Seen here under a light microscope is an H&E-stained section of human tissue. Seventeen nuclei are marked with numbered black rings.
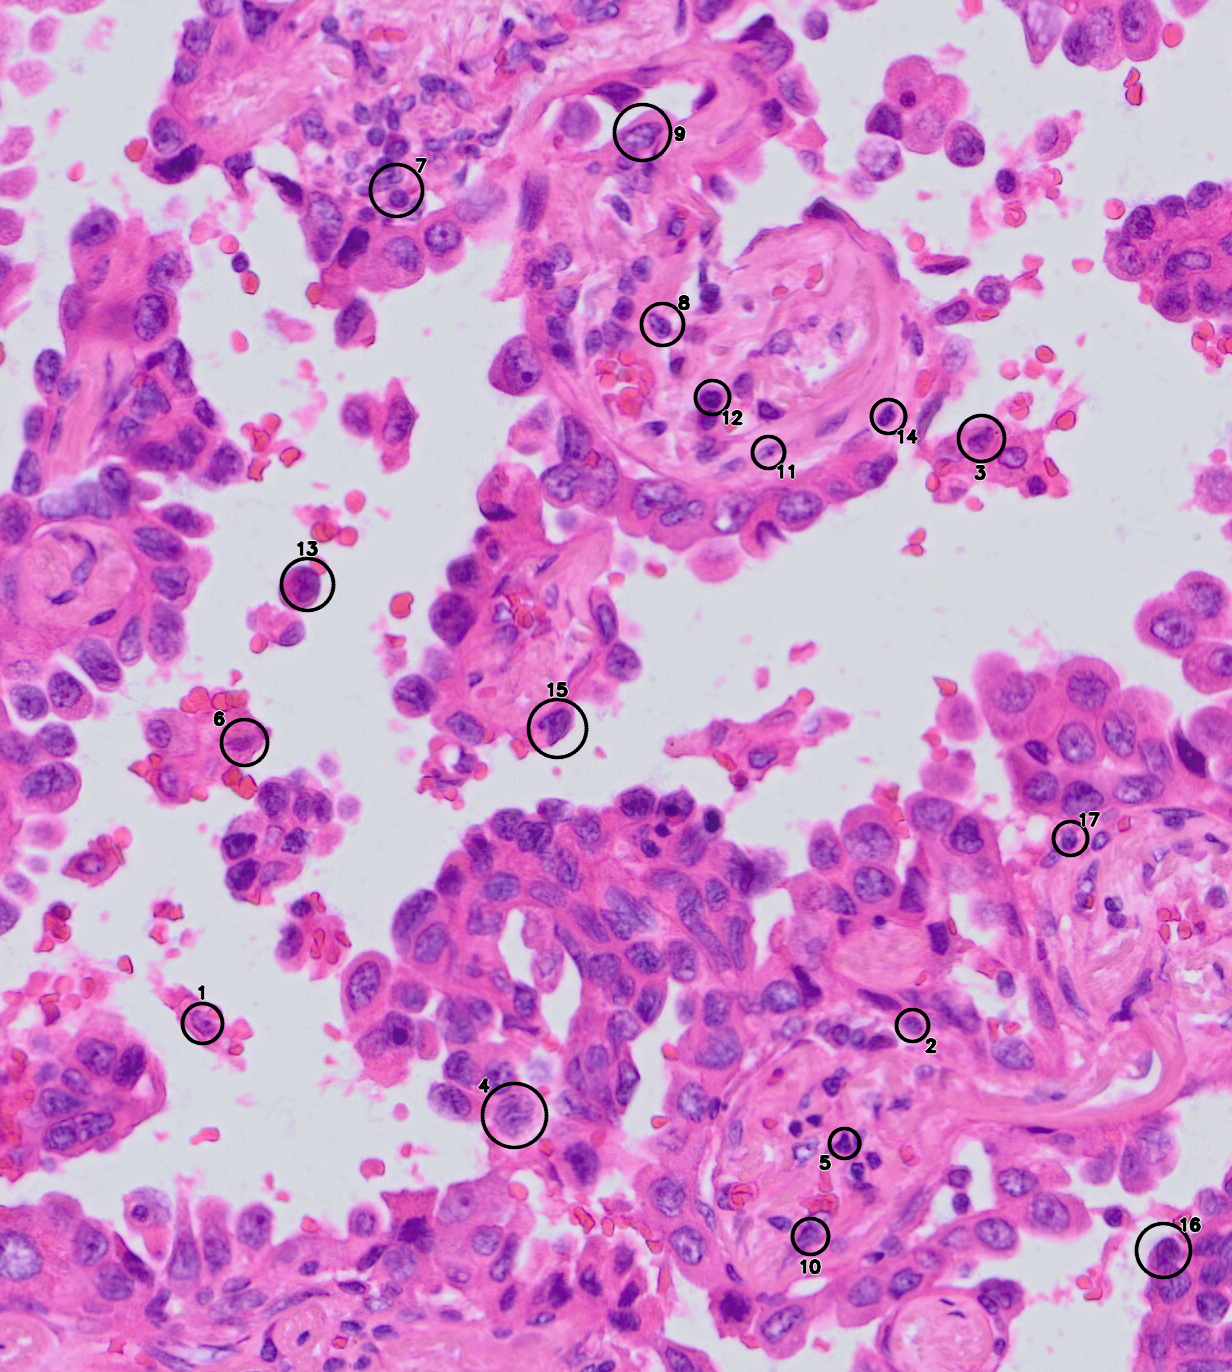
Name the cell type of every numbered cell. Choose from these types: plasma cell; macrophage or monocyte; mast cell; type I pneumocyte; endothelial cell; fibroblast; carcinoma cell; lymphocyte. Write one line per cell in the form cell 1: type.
cell 1: macrophage or monocyte
cell 2: lymphocyte
cell 3: macrophage or monocyte
cell 4: carcinoma cell
cell 5: plasma cell
cell 6: macrophage or monocyte
cell 7: lymphocyte
cell 8: lymphocyte
cell 9: carcinoma cell
cell 10: plasma cell
cell 11: fibroblast
cell 12: plasma cell
cell 13: carcinoma cell
cell 14: lymphocyte
cell 15: carcinoma cell
cell 16: carcinoma cell
cell 17: lymphocyte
